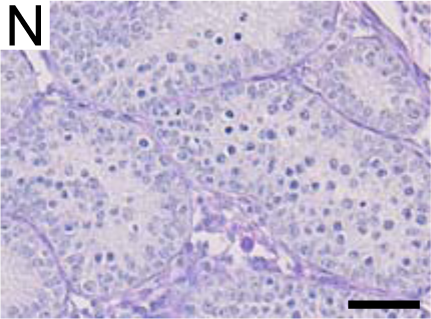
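These are seminiferous tubules cut in cross-section, each bounded by a thin pink rim and filled with many small rounded cells with blue nuclei in several layers. Narrow interstitial spaces separate the neighbouring tubules.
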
